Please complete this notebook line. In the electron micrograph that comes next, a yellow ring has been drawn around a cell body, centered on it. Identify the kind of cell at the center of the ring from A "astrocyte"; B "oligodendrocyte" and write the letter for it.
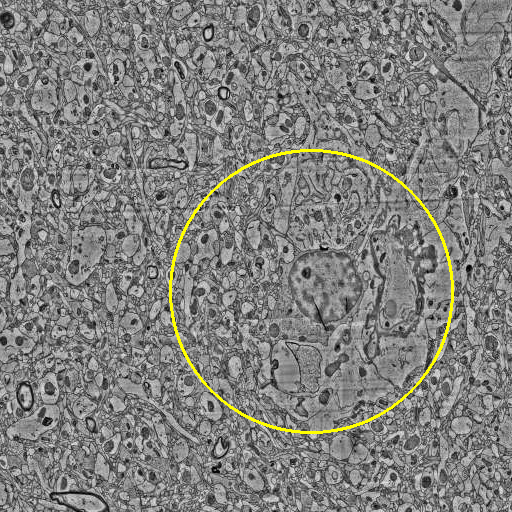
B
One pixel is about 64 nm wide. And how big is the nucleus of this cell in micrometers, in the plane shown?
The nucleus of the ringed cell is approximately 5 micrometres across in this plane.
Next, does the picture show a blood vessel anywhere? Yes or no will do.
Yes, there is one.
